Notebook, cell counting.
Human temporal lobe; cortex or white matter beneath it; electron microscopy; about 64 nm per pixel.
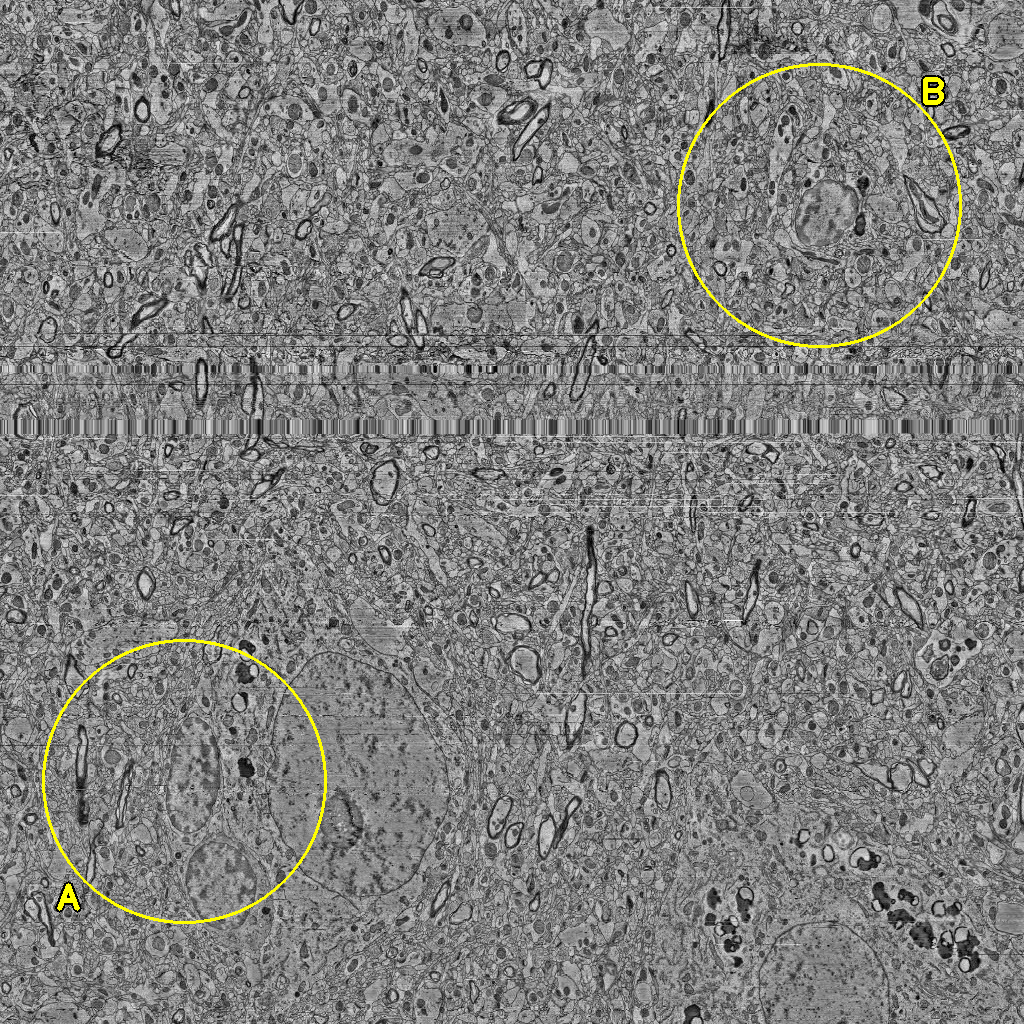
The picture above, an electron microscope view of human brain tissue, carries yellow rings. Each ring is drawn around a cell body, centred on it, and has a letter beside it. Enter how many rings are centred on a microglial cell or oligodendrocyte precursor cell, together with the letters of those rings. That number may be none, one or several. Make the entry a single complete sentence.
Identified by the letters A and B, two rings are each centred on a microglial cell or oligodendrocyte precursor cell.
